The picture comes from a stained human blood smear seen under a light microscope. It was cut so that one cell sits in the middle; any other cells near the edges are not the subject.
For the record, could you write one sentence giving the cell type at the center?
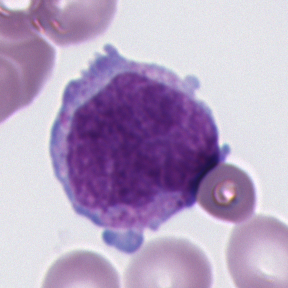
What the crop centres on is an atypical promyelocyte.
